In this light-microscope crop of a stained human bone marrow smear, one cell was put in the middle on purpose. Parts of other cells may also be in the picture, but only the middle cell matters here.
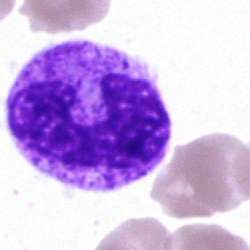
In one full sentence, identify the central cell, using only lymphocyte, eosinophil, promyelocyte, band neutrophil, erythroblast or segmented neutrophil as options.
The central element of this crop is a cell, namely a band neutrophil.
